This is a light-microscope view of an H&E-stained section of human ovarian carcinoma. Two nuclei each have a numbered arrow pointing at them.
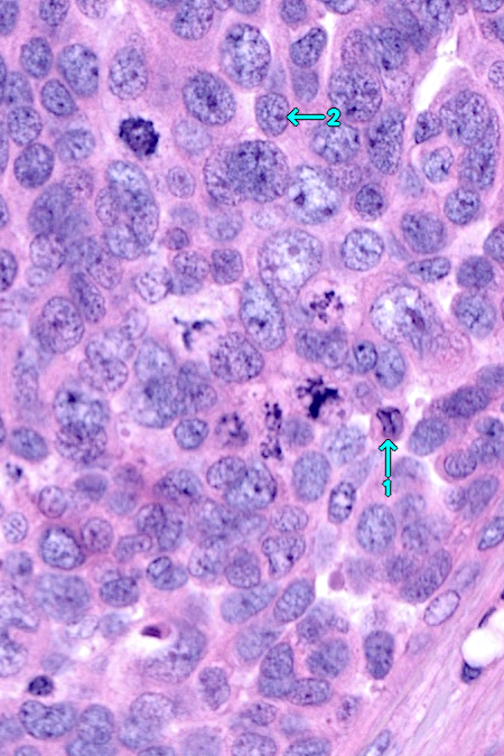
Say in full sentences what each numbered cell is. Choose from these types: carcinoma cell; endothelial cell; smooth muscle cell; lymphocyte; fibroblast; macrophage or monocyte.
Cell 1 is a macrophage or monocyte and cell 2 is a carcinoma cell.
